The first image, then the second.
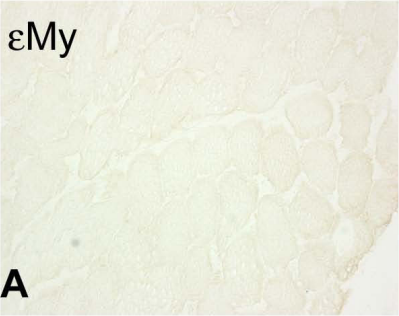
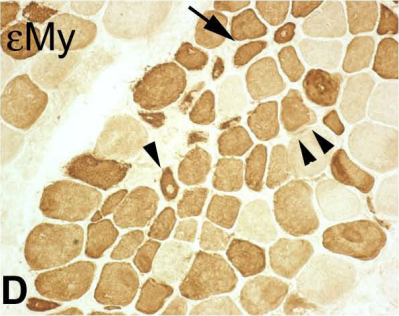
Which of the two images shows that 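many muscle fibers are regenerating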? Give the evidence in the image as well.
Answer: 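The second image. Second image: many fibers of varying size are stained dense brown. First image: all fibers are pale with no brown staining.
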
